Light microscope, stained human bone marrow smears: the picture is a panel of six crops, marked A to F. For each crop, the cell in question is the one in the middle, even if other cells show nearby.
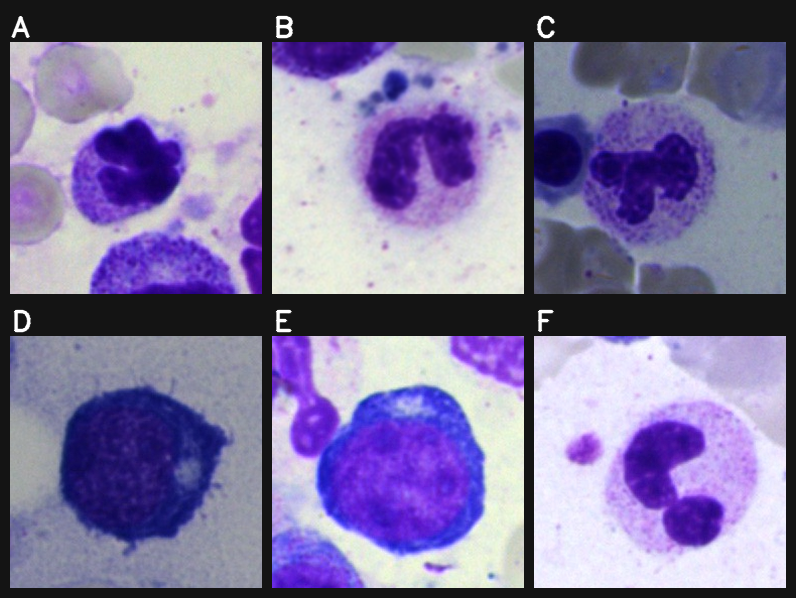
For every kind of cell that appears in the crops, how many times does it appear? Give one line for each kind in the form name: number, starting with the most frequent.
segmented neutrophil: 4
proerythroblast: 2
